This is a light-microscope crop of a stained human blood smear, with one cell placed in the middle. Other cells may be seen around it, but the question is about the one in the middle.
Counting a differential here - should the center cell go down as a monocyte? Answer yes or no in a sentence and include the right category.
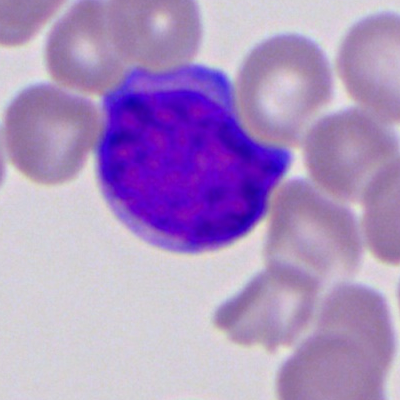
No, calling it a monocyte is wrong; the middle cell is a blast.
